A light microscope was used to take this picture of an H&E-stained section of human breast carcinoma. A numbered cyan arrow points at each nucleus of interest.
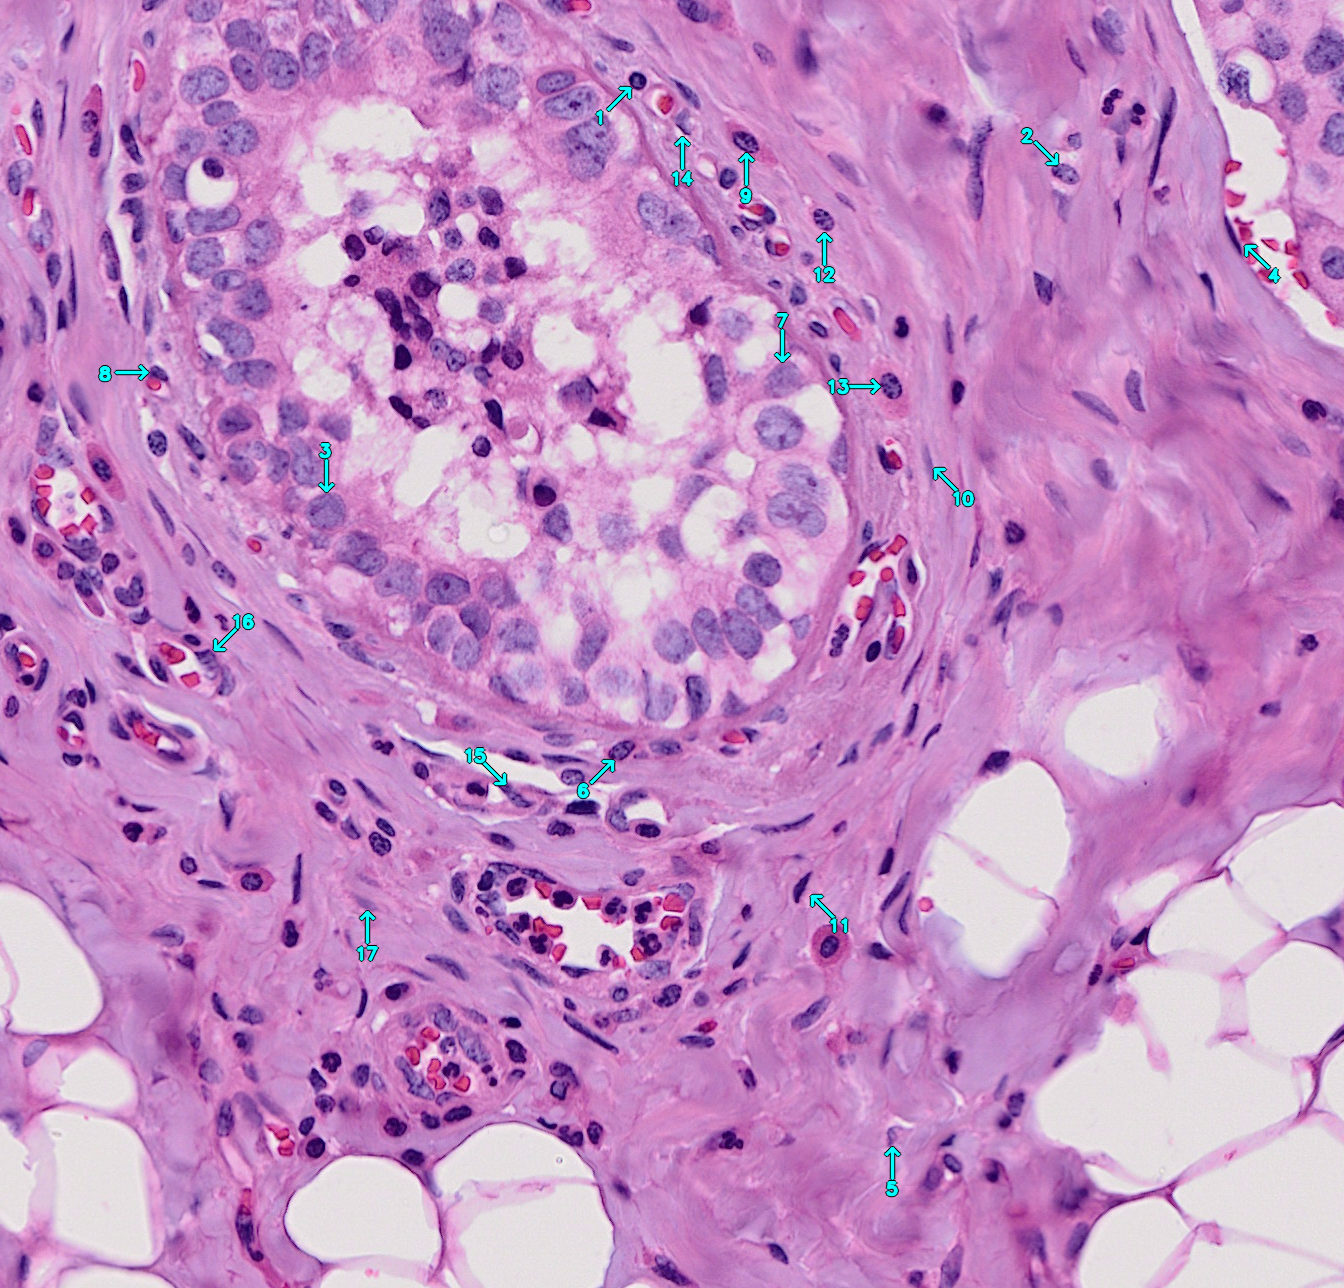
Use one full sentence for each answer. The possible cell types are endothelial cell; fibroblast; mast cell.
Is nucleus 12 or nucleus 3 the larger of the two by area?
Of the two, number 3 is bigger and takes up about 3 times the area of number 12.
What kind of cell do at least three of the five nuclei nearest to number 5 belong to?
The majority of the five nuclei closest to number 5 belong to endothelial cells.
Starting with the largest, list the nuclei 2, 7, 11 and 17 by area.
Going from the biggest nucleus down to the smallest gives 7, 2, 11, 17.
